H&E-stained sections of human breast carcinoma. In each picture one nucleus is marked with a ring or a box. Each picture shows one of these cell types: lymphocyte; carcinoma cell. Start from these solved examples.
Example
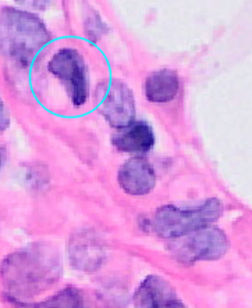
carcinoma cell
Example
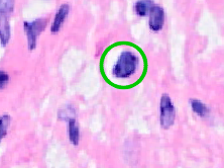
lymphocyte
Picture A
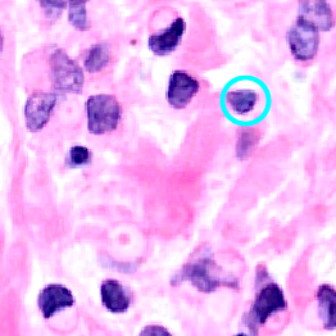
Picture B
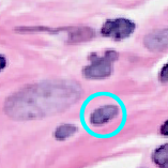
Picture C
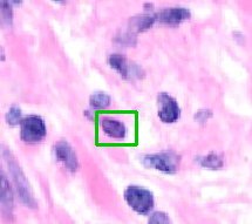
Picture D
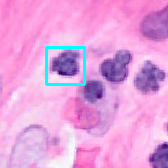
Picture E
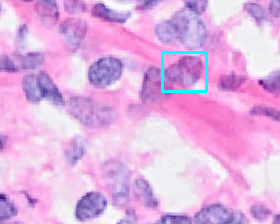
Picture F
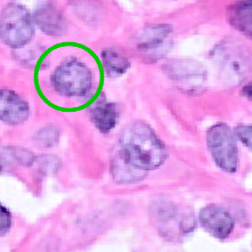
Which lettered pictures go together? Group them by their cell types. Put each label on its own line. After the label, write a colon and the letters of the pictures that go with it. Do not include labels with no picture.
lymphocyte: A, B, C, D
carcinoma cell: E, F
